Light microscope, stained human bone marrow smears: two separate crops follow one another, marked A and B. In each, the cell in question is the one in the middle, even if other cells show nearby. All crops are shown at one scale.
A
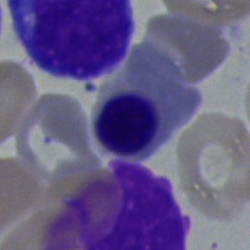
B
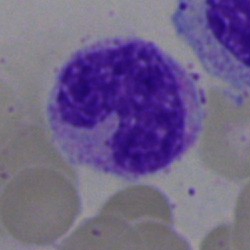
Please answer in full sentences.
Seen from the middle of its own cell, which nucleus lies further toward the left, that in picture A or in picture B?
The nucleus in picture A lies further toward the left of its cell.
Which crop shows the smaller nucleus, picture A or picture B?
The nucleus in picture A is smaller; the one in picture B has about 4 times its area.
